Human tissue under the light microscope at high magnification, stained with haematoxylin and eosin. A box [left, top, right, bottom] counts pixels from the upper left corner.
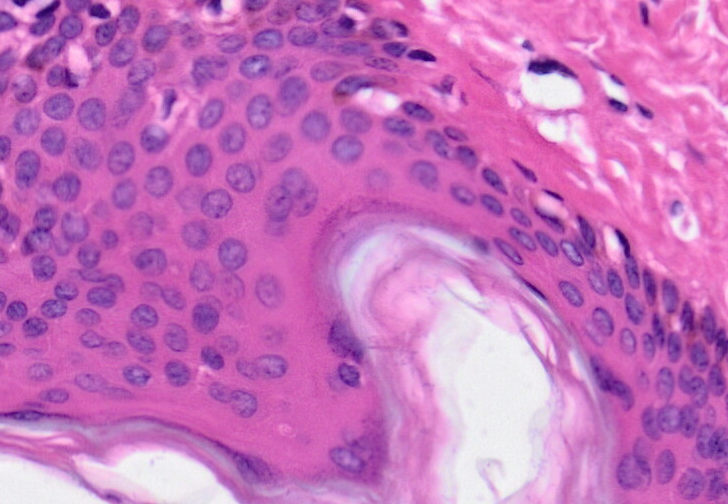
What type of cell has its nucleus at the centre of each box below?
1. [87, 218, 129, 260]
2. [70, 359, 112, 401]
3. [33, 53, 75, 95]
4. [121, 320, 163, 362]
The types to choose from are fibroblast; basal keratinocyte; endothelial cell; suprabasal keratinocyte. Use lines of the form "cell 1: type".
cell 1: suprabasal keratinocyte
cell 2: suprabasal keratinocyte
cell 3: basal keratinocyte
cell 4: suprabasal keratinocyte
